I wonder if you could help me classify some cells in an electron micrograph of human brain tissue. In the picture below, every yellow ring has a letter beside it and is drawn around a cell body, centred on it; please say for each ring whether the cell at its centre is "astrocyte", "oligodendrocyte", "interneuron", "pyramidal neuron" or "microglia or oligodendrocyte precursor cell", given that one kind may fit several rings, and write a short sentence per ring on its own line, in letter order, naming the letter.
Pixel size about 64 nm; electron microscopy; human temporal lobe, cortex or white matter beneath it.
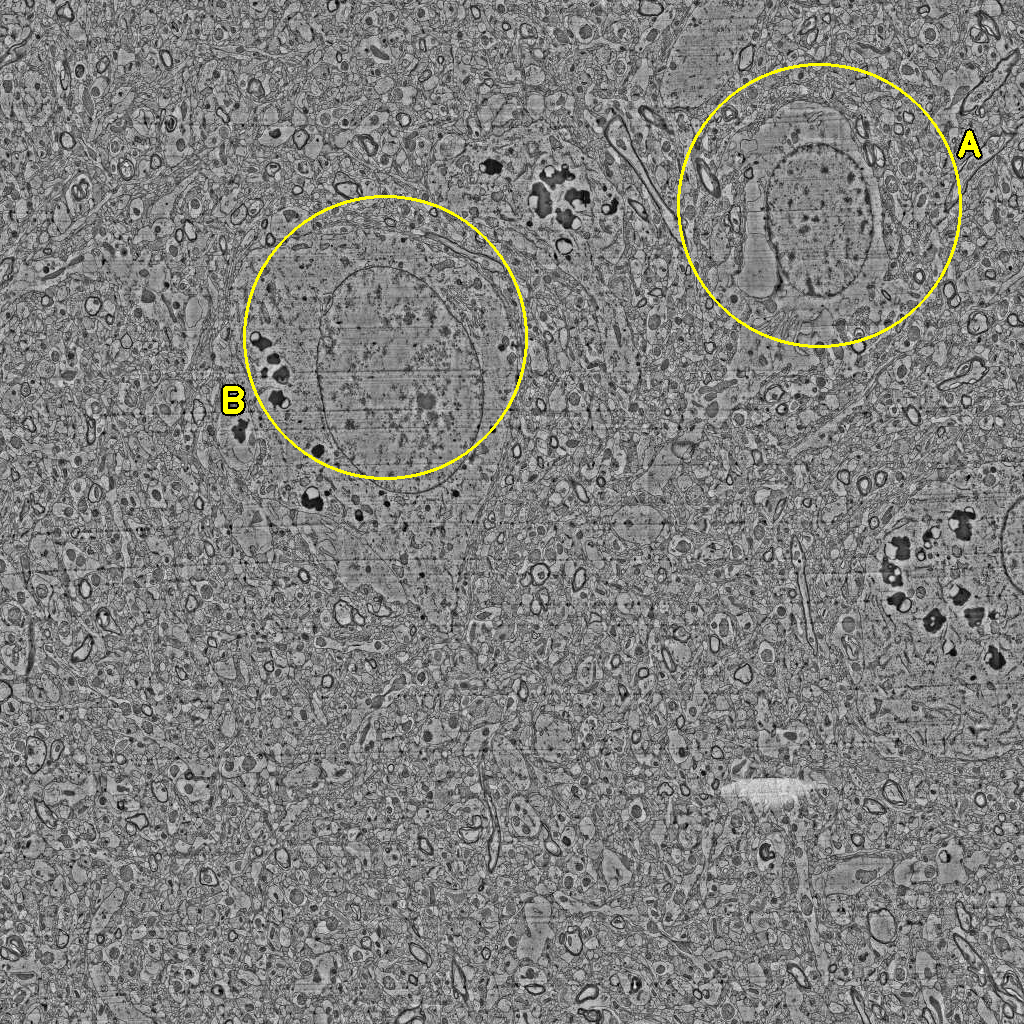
Centred in ring A is an astrocyte.
Centred in ring B is a pyramidal neuron.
